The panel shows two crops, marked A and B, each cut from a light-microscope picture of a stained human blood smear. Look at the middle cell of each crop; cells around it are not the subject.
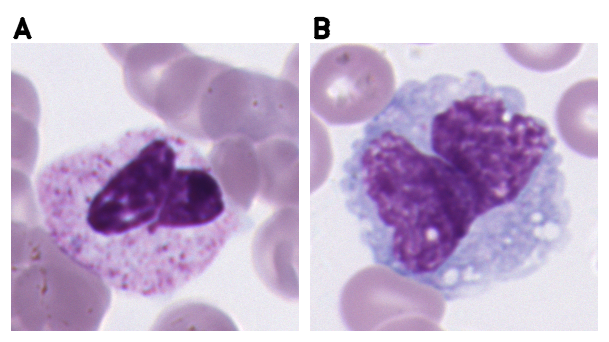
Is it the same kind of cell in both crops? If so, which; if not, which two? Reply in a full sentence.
No, a segmented neutrophil is in crop A, and a monocyte is in crop B.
